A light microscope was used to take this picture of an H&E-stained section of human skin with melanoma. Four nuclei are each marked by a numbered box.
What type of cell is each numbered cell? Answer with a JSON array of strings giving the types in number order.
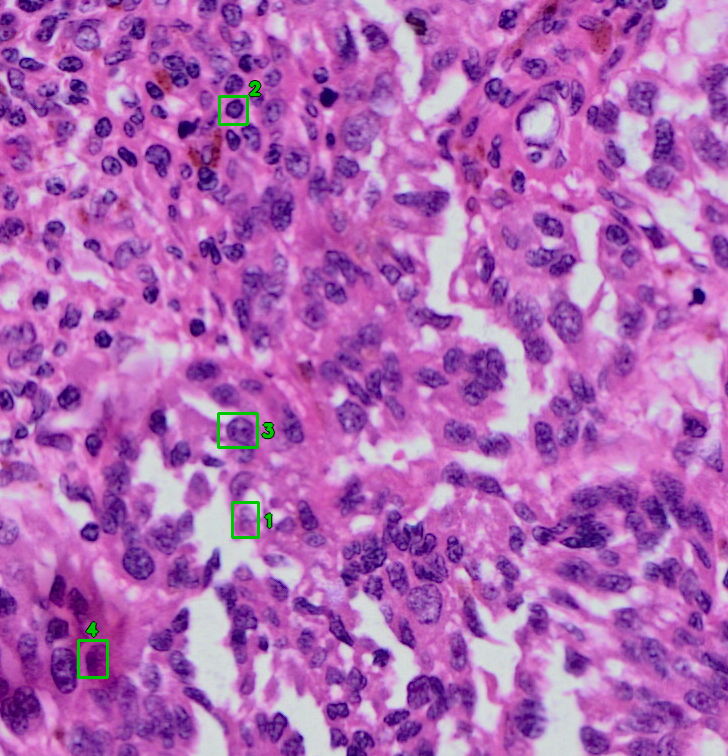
["melanoma cell", "lymphocyte", "melanoma cell", "melanoma cell"]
